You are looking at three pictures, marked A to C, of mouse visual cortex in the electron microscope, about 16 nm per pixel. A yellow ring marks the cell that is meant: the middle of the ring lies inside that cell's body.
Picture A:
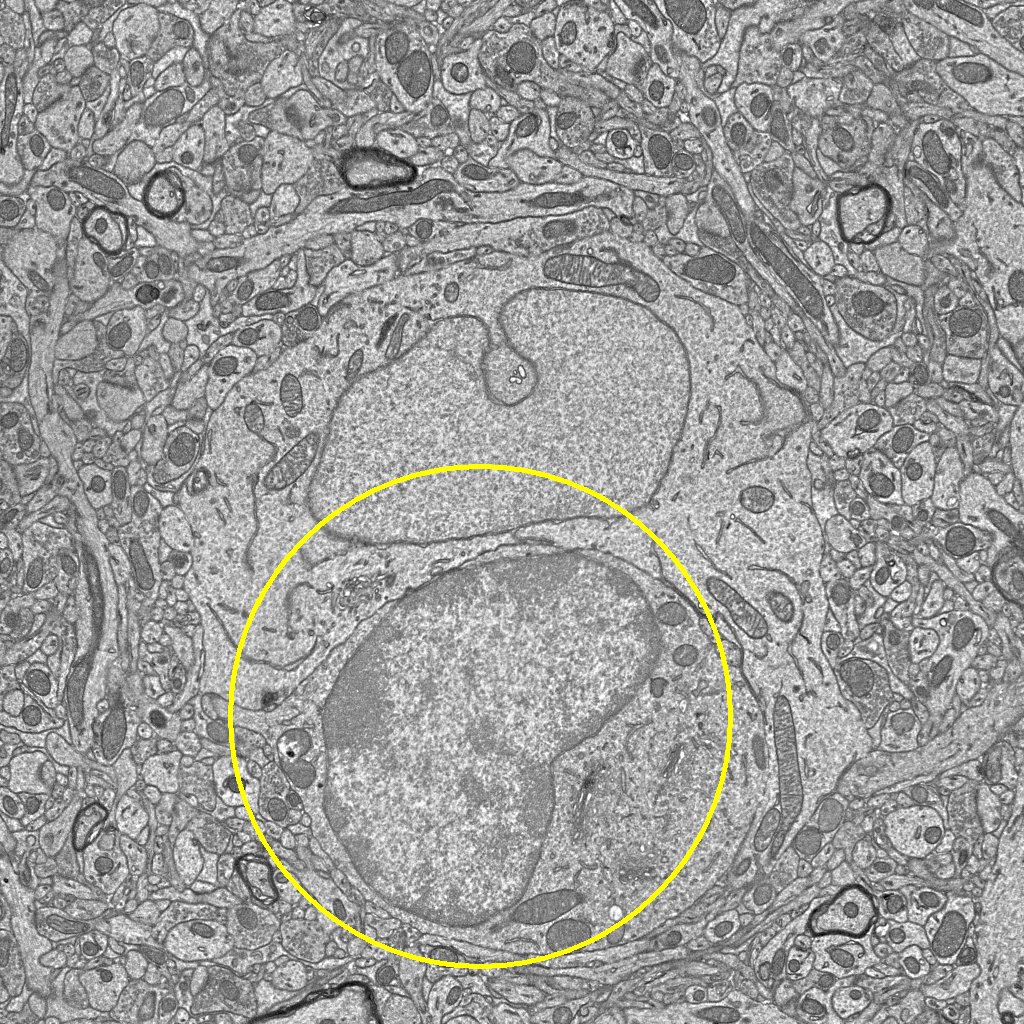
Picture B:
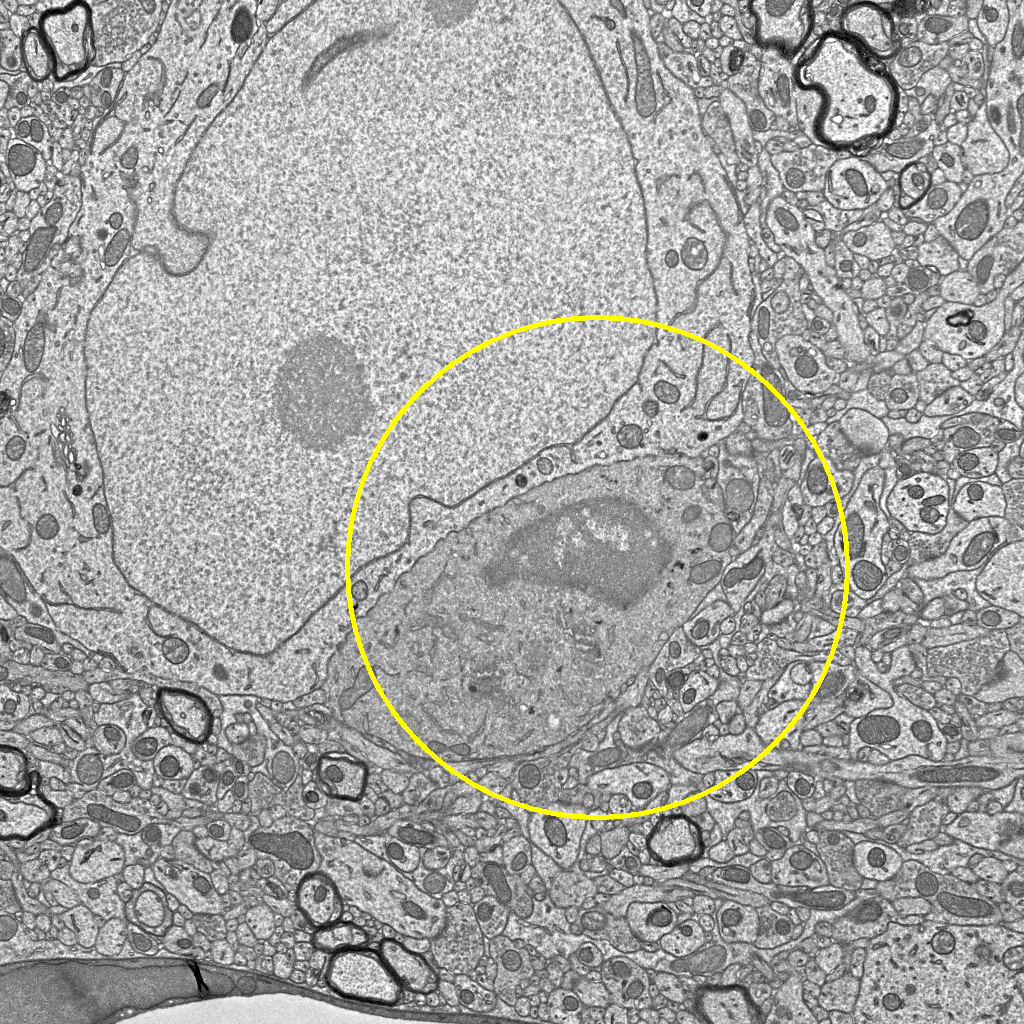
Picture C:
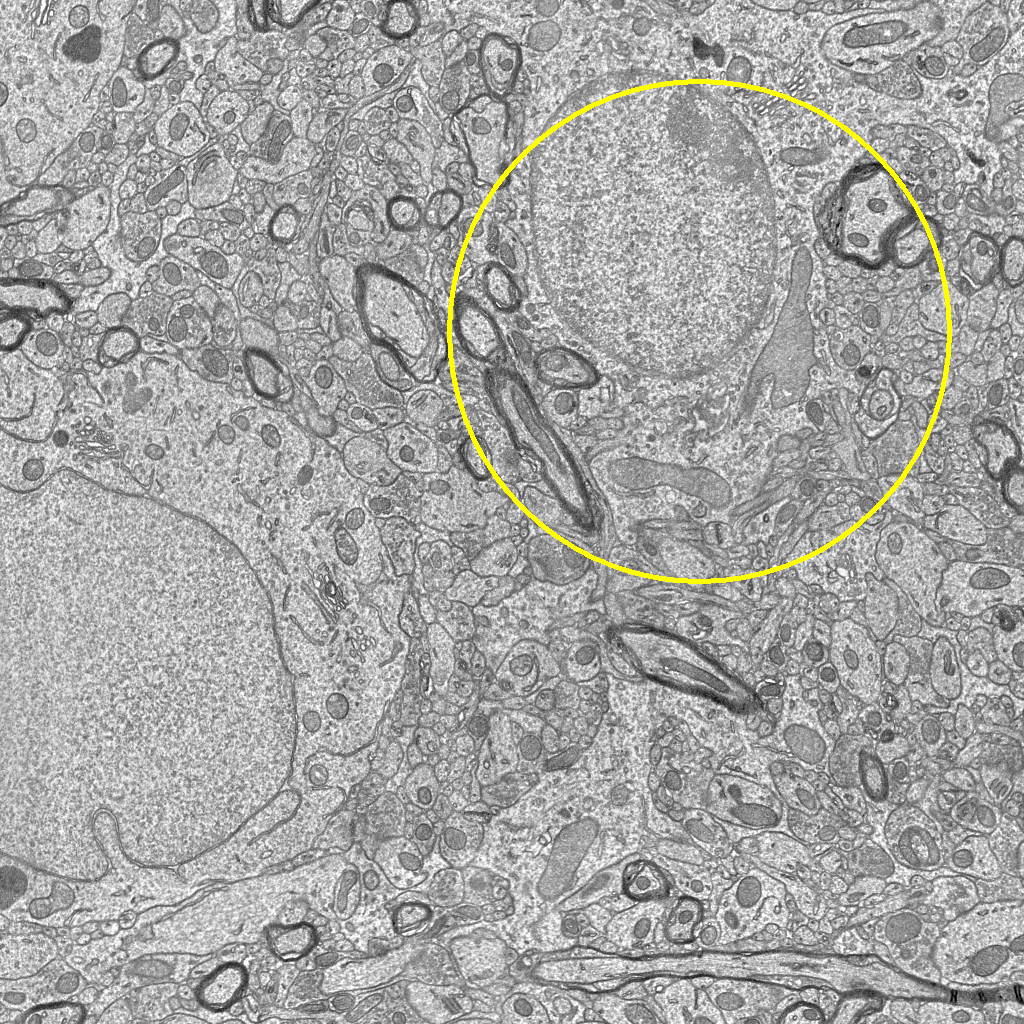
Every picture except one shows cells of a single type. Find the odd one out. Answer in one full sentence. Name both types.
Picture C differs, because its cell is an astrocyte and the rest are oligodendrocytes.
